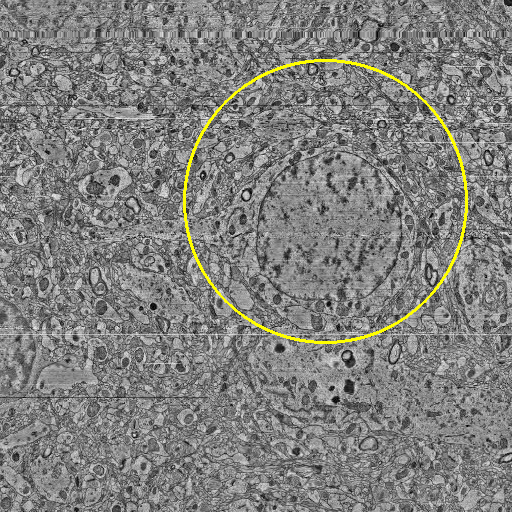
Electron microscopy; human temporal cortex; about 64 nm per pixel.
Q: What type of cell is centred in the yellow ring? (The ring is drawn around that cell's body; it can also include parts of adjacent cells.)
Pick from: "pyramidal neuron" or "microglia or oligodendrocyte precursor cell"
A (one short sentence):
The yellow ring is centred on a pyramidal neuron.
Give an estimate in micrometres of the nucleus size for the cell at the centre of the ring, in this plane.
The nucleus is about 10 micrometres across in this plane.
